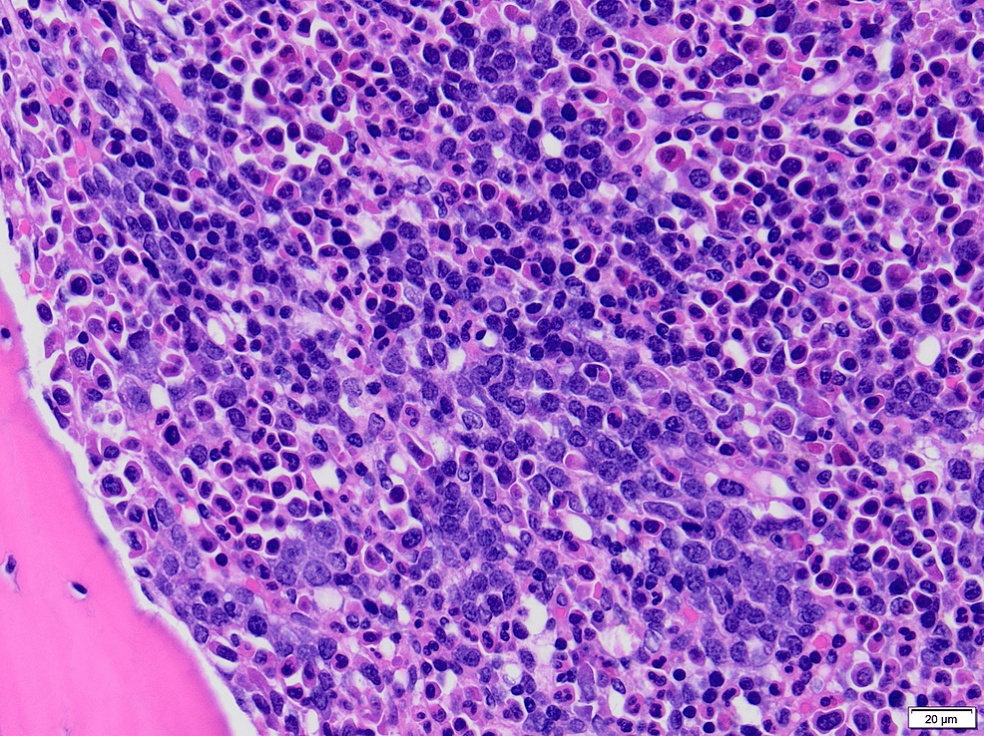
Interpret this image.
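This is a highly cellular bone marrow beside a pink bony trabecula, crowded with erythroid precursors. Many cells are small and round, with very dark, round nuclei and a narrow clear rim around the nucleus. Larger cells with round to oval nuclei, finely dispersed purple chromatin and scant cytoplasm lie packed together in sheets and groups, especially through the middle of the field. Scattered among them are cells with pink, granular cytoplasm. Fat spaces are few and small, and the hematopoietic cells fill nearly the whole space next to the bone.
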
